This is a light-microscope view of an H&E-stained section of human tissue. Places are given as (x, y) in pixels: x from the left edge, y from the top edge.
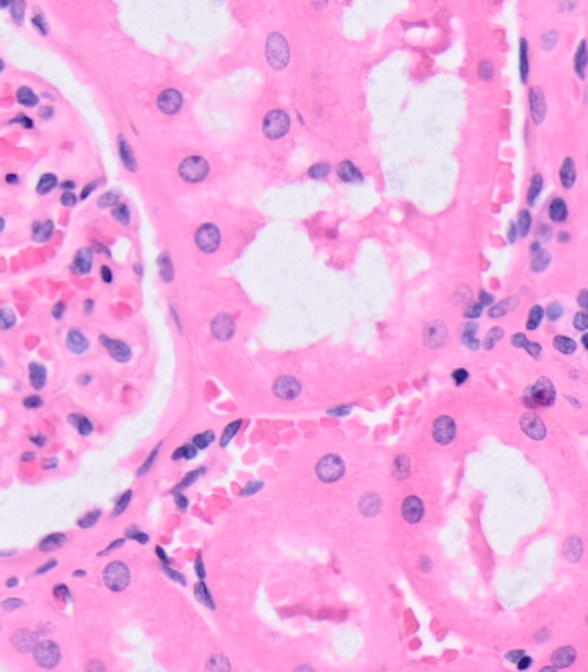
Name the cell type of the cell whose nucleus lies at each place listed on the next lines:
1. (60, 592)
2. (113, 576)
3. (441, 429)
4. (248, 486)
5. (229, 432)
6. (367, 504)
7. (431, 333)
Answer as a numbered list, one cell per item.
1. endothelial cell
2. proximal tubule cell
3. proximal tubule cell
4. endothelial cell
5. endothelial cell
6. proximal tubule cell
7. proximal tubule cell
